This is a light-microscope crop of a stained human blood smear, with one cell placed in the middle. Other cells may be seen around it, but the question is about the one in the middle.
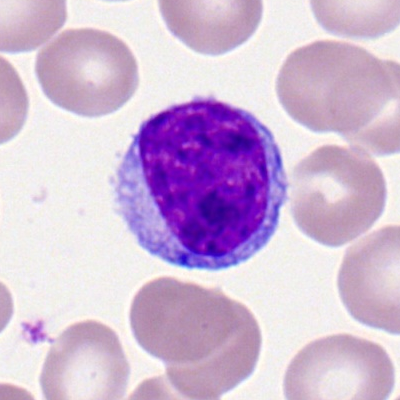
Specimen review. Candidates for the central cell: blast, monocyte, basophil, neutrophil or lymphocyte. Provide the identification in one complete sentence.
In the middle of this smear crop, the cell is a lymphocyte.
